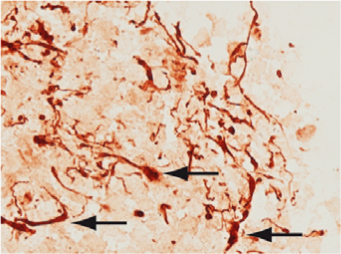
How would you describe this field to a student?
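Numerous branching fibers run irregularly through the field, some thin and wavy, others coarse. Several processes are markedly thickened near small, darkly stained cell bodies, forming swollen, dense segments that stand out from the finer fibers around them. The network is looser and more fragmented than a dense meshwork, with short isolated fiber pieces and small dark dots scattered through the section. The tissue edge at the right is paler, with fewer stained processes.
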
